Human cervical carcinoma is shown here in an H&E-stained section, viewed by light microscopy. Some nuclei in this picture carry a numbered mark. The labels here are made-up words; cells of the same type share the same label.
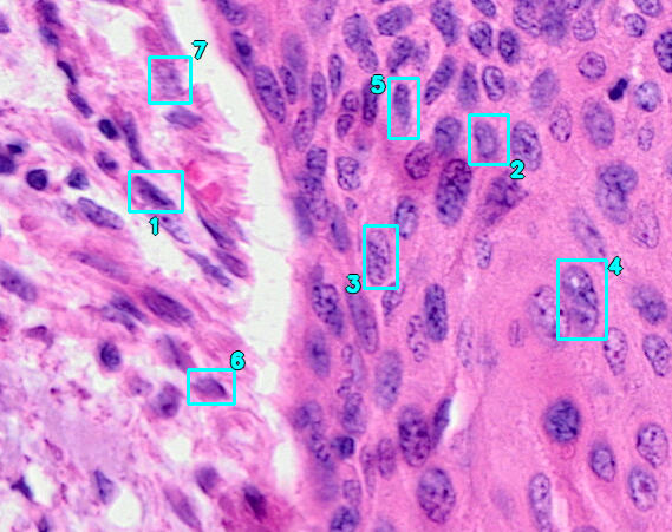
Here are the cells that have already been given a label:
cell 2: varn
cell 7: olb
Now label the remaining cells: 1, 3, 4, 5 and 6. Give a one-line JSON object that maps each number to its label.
{"1": "olb", "3": "varn", "4": "varn", "5": "varn", "6": "olb"}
